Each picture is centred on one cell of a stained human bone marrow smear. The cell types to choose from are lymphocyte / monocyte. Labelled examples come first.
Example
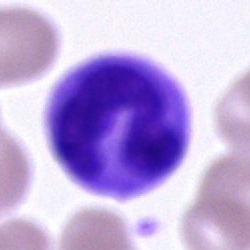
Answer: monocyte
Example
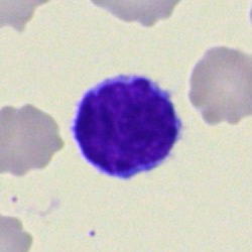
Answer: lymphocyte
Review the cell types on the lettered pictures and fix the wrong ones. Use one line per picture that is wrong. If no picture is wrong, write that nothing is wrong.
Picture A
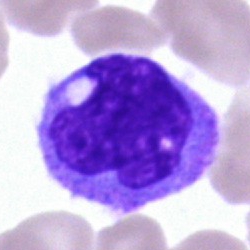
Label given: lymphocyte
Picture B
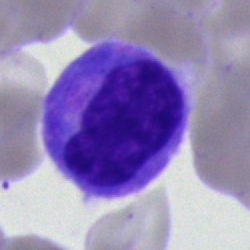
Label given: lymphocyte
A: not lymphocyte but monocyte
B: not lymphocyte but monocyte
